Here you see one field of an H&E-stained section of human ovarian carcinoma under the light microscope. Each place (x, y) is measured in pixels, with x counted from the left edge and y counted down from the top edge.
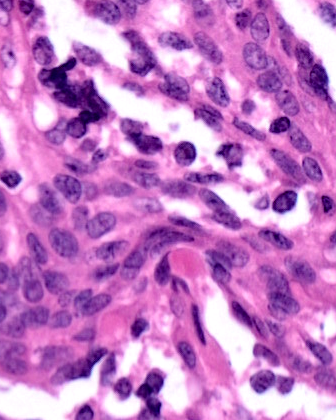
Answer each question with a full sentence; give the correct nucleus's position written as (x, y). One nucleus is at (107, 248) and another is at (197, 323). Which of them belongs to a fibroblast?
Only the nucleus at (197, 323), of the two, belongs to a fibroblast.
